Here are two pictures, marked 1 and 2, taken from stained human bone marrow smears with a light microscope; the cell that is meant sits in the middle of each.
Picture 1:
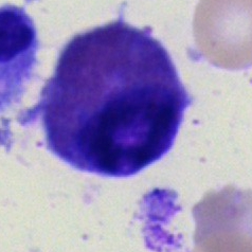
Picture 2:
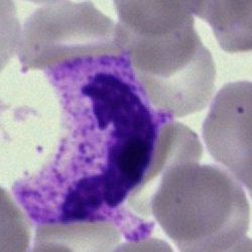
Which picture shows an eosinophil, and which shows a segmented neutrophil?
1: eosinophil
2: segmented neutrophil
